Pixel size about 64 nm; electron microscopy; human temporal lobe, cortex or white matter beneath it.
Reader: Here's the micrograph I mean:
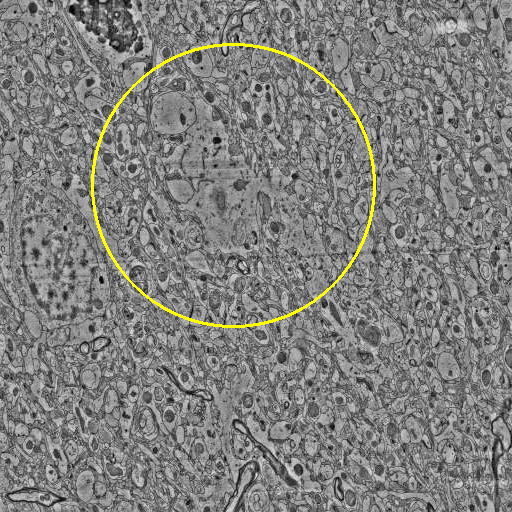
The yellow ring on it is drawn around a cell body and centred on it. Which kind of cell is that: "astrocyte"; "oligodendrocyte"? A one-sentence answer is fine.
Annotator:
The ring is centred on an astrocyte.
